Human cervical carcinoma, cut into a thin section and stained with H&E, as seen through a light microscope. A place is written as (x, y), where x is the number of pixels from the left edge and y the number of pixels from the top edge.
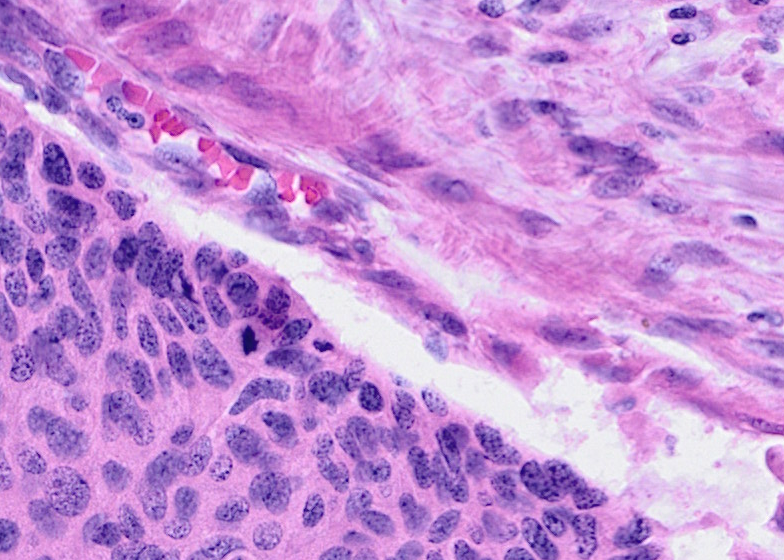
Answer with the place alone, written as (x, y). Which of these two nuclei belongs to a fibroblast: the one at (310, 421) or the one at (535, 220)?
(535, 220)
